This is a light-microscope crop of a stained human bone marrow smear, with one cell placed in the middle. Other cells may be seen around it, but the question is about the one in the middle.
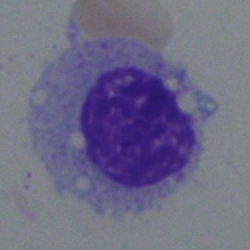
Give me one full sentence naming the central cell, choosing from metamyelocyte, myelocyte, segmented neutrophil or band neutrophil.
Here the cell in the middle is a myelocyte.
